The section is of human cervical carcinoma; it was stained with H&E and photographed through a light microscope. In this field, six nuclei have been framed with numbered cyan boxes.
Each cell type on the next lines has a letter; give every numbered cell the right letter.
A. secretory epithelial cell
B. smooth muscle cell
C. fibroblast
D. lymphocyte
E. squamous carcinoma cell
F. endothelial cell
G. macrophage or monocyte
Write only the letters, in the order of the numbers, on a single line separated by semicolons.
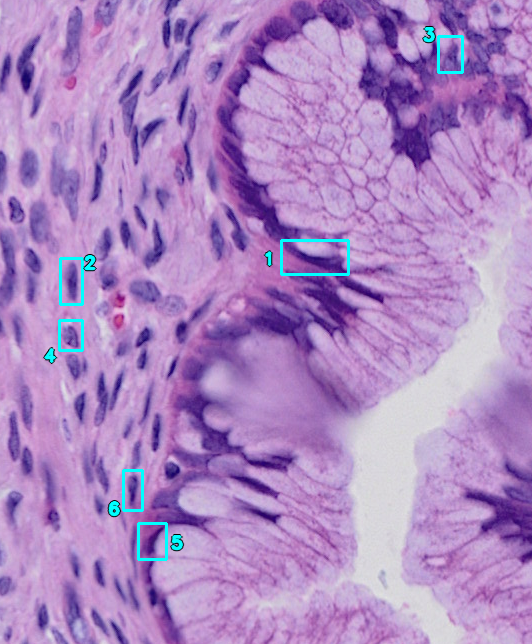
A; C; A; F; A; C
